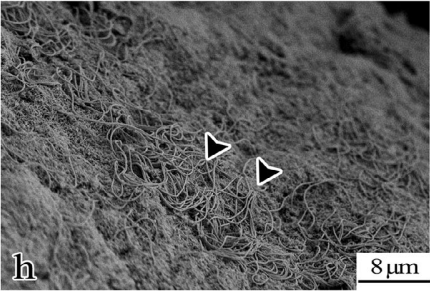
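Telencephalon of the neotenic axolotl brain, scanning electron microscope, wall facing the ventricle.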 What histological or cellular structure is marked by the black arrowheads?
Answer: apical surface specializations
